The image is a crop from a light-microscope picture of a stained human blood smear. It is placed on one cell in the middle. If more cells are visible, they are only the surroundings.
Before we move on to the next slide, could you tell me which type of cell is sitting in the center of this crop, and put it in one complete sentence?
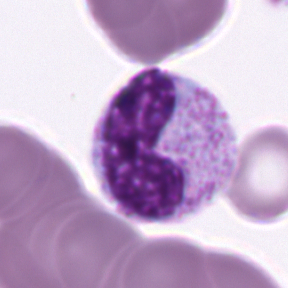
By type, the central cell of the crop is a band neutrophil.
